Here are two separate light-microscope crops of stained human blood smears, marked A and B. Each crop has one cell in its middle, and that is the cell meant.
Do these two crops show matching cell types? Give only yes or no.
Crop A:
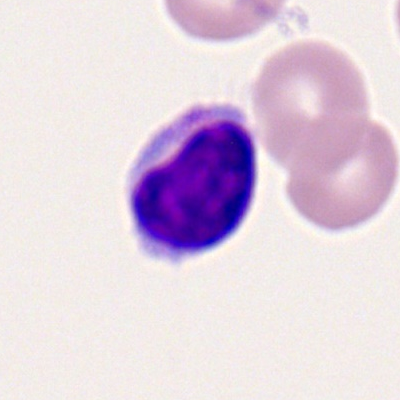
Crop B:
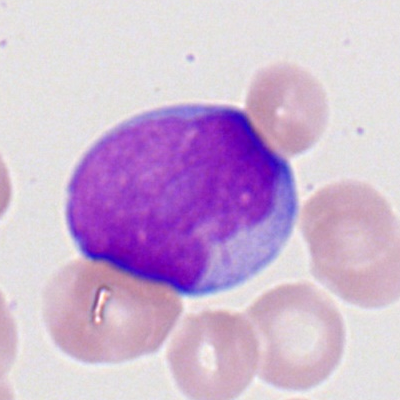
no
